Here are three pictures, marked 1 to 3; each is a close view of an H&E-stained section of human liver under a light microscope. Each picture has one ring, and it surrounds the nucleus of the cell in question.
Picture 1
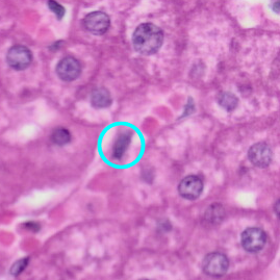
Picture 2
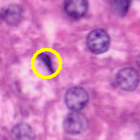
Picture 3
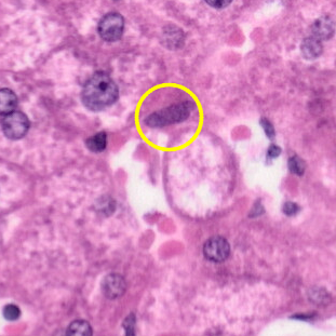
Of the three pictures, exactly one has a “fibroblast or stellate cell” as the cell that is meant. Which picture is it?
2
